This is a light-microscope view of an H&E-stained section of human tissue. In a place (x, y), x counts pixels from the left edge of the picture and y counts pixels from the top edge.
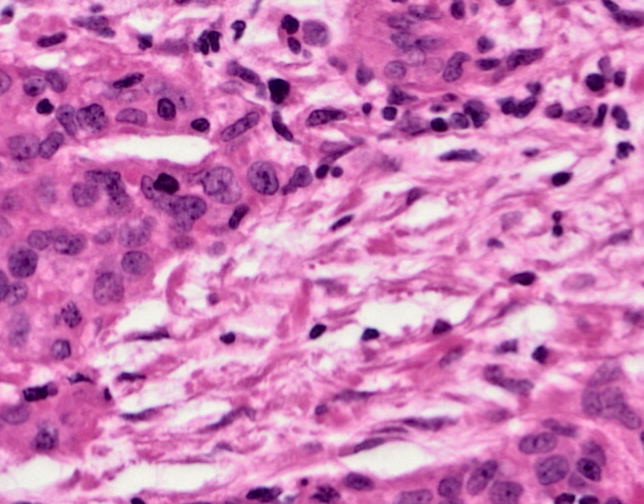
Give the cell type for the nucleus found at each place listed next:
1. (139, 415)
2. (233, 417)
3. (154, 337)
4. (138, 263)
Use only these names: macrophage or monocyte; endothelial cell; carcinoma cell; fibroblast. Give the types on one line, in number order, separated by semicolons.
fibroblast; fibroblast; fibroblast; carcinoma cell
